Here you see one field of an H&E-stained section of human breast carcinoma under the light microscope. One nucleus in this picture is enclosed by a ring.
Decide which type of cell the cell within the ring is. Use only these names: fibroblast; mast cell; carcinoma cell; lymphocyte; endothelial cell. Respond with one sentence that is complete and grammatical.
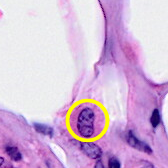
Considered by cell type, the cell within the ring is a mast cell.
